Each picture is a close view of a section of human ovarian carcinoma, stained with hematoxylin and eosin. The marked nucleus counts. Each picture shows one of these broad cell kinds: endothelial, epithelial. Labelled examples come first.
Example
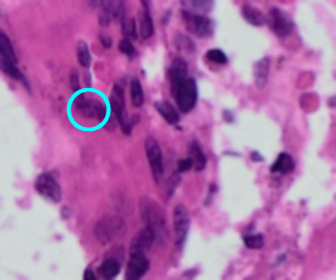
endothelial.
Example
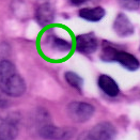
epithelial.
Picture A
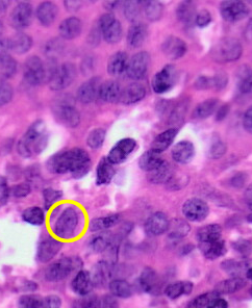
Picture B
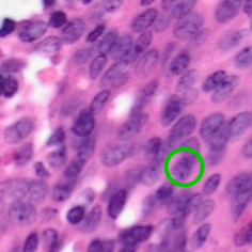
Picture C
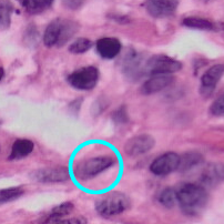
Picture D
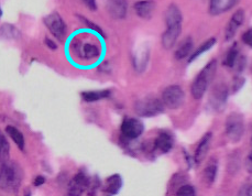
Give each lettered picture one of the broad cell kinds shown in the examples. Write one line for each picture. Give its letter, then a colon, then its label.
A: epithelial.
B: epithelial.
C: endothelial.
D: endothelial.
